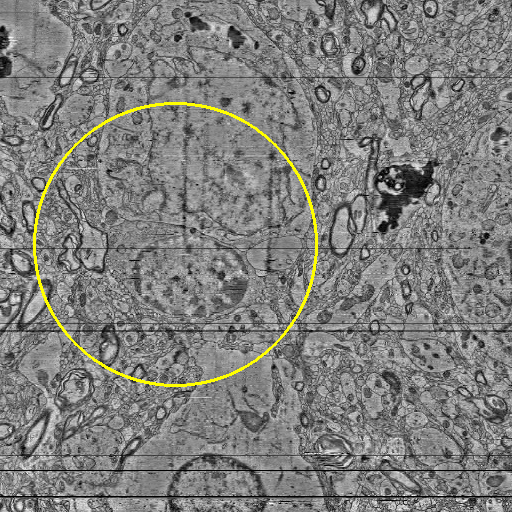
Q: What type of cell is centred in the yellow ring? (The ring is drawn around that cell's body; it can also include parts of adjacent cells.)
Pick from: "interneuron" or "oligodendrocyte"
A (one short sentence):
The yellow ring is centred on an oligodendrocyte.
